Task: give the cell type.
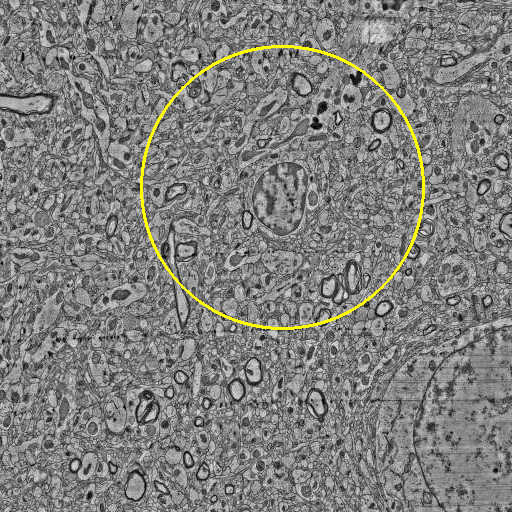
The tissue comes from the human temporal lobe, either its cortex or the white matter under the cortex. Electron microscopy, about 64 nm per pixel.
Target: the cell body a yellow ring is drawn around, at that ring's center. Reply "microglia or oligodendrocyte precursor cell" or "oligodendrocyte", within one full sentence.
In this picture, the cell whose body lies at the ring's center is a microglial cell or oligodendrocyte precursor cell.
